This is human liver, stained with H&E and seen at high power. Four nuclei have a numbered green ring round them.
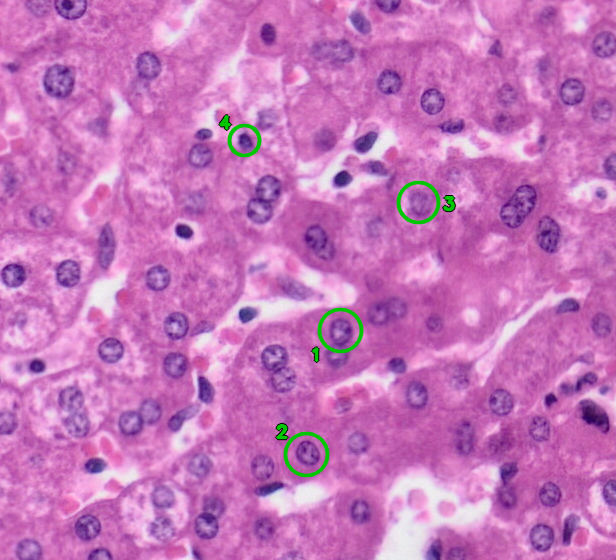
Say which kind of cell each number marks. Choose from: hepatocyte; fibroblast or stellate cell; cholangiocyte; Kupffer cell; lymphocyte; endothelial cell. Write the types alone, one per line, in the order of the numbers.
hepatocyte
hepatocyte
hepatocyte
fibroblast or stellate cell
